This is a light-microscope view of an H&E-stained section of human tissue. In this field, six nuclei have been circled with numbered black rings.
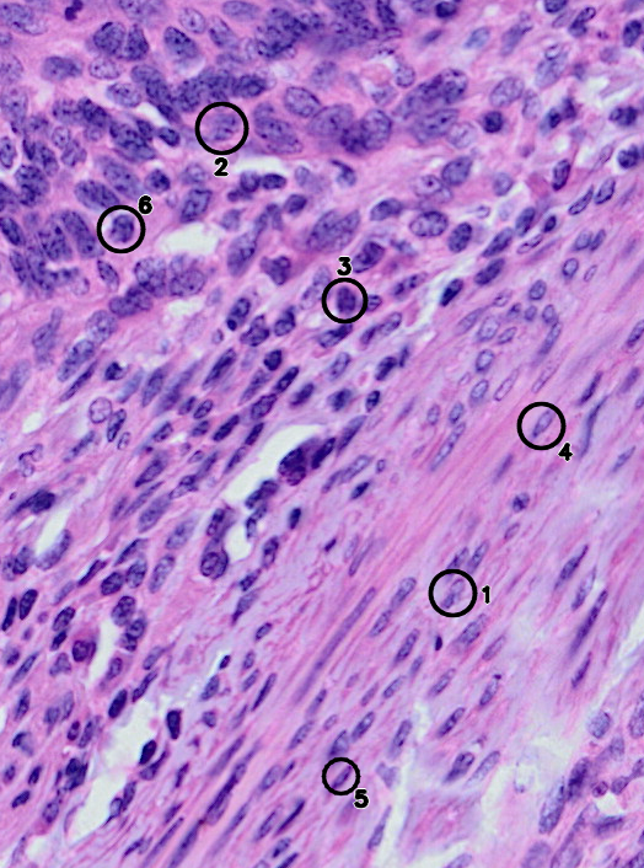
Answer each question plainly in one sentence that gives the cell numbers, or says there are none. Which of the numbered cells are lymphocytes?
In this section, the cells labelled 3 and 6 are lymphocytes.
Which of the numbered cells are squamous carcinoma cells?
Only at number 2 is there a squamous carcinoma cell.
